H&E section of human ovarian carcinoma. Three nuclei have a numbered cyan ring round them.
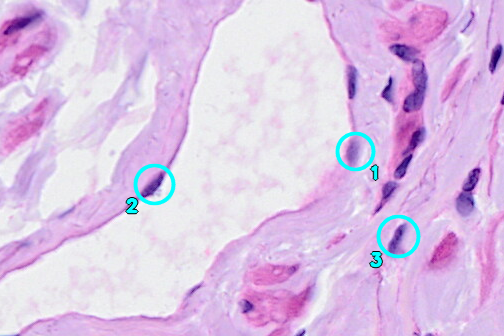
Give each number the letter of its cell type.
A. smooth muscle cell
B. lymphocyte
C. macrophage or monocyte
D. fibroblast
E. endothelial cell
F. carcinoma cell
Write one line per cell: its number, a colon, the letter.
1: E
2: E
3: D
